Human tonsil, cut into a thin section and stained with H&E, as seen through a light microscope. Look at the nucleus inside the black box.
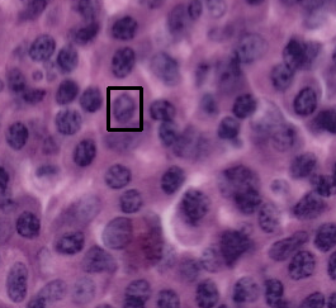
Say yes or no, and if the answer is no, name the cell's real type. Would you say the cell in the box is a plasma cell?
Yes.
